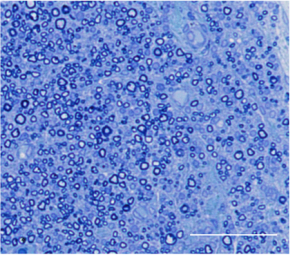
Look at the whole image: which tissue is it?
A: nerve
